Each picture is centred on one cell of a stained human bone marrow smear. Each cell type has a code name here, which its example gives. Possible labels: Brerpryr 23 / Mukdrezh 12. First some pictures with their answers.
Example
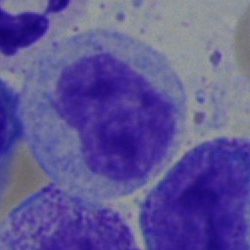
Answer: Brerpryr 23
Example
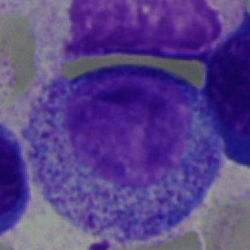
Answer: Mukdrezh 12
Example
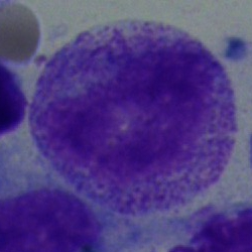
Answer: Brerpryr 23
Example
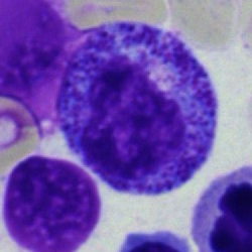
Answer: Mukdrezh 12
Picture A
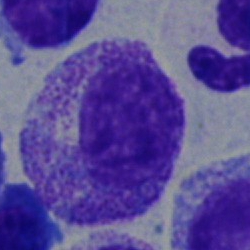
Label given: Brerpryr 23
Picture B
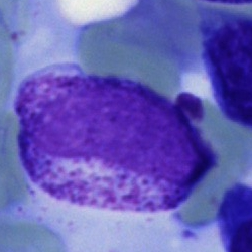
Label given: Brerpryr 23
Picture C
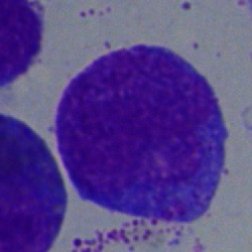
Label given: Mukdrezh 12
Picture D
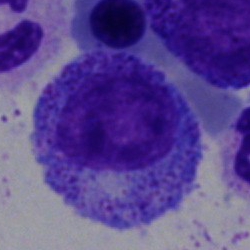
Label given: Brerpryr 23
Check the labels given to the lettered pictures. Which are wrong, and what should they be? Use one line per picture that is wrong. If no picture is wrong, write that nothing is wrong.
D is labelled Brerpryr 23; correct label: Mukdrezh 12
